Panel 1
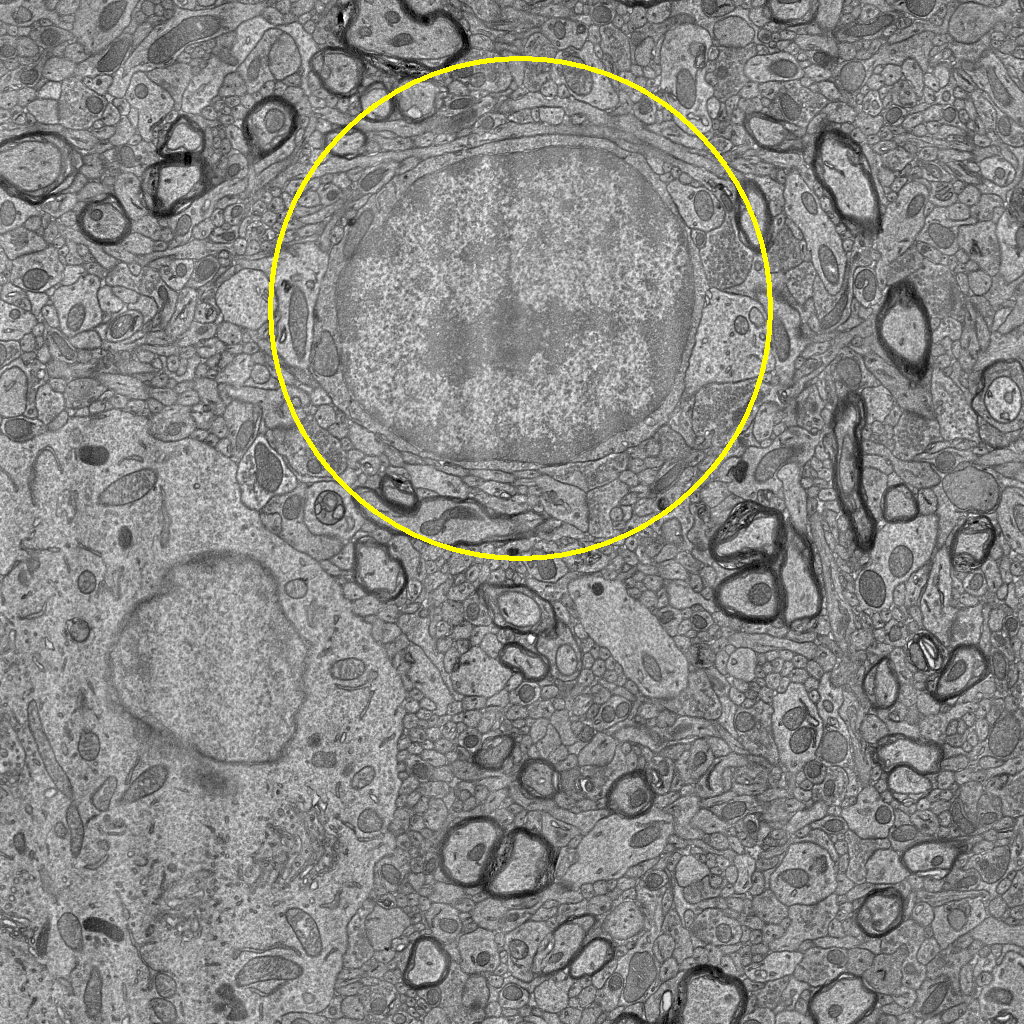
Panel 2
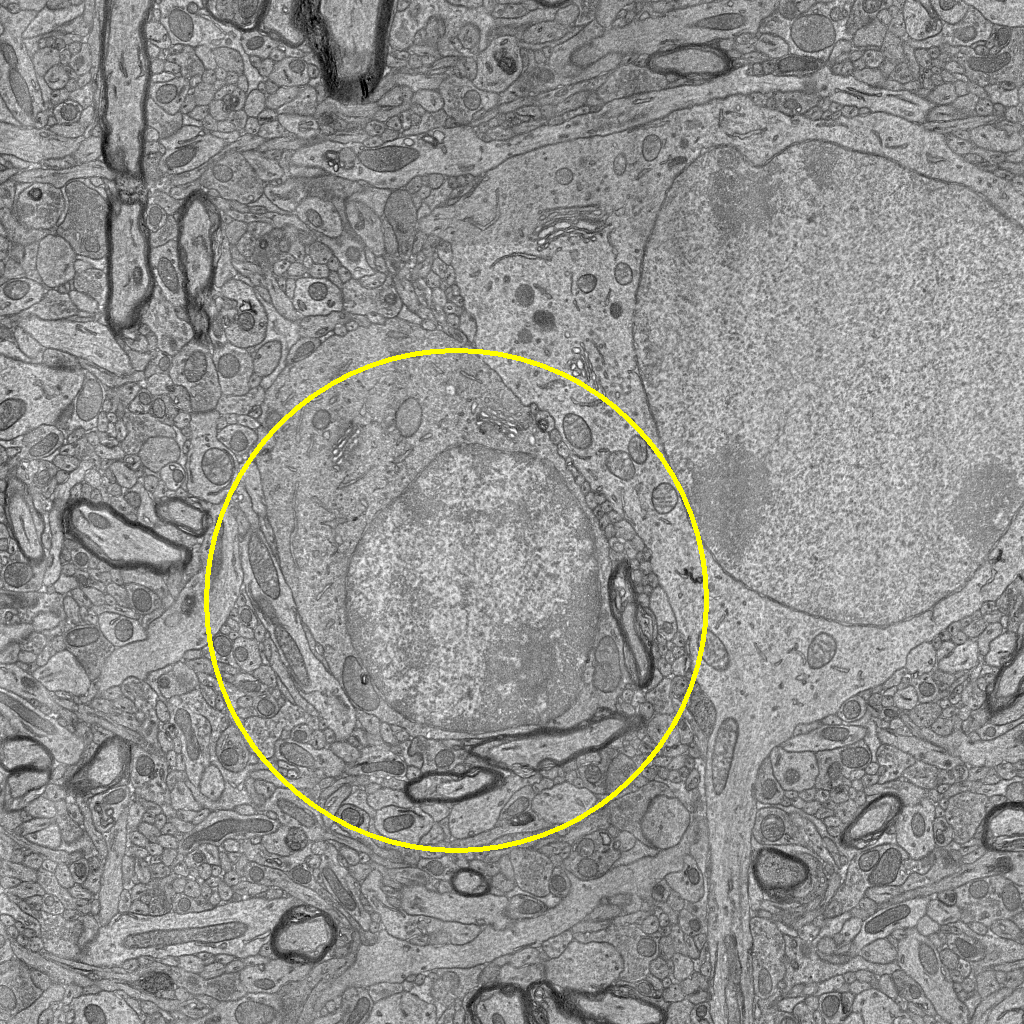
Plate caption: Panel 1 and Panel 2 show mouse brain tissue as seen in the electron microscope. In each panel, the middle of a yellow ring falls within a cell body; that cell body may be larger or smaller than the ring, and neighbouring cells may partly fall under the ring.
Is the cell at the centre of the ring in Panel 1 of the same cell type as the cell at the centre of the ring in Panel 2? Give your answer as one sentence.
Yes, the two cells are of the same type.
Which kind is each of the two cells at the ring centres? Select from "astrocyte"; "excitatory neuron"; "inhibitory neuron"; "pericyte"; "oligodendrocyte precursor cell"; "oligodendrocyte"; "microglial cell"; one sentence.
Each of the two cells is an oligodendrocyte.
